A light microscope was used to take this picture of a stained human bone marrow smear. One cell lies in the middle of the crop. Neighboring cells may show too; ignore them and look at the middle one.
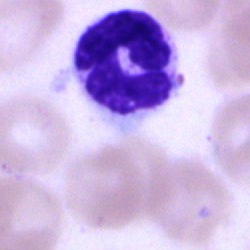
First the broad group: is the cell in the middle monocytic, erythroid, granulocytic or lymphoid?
granulocytic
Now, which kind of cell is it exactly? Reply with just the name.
segmented neutrophil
